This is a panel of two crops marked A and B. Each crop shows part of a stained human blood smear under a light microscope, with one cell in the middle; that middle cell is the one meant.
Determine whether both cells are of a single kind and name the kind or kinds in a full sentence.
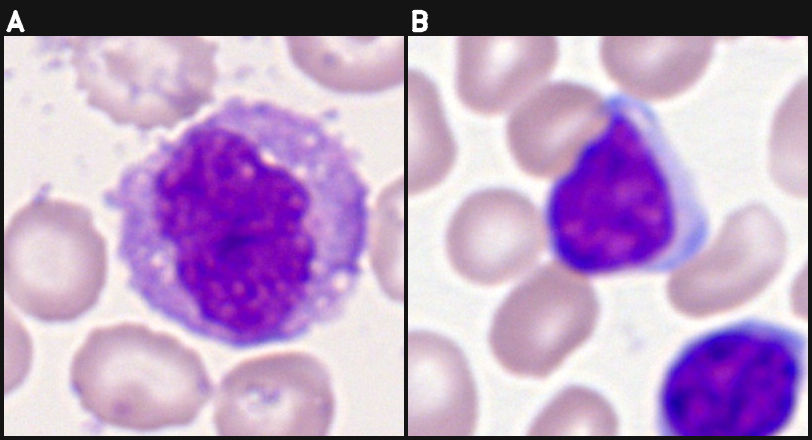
No, crop A matches a monocyte and crop B matches a lymphocyte.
